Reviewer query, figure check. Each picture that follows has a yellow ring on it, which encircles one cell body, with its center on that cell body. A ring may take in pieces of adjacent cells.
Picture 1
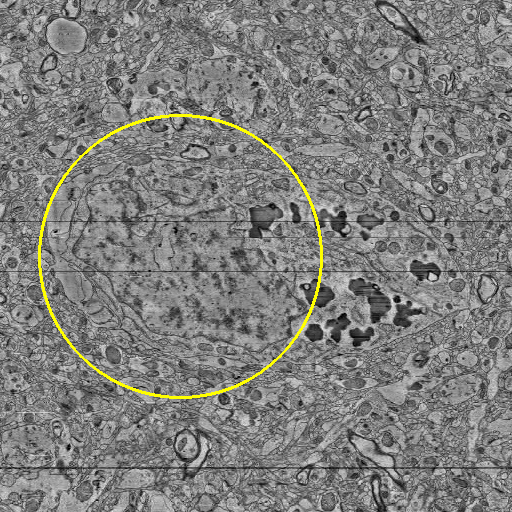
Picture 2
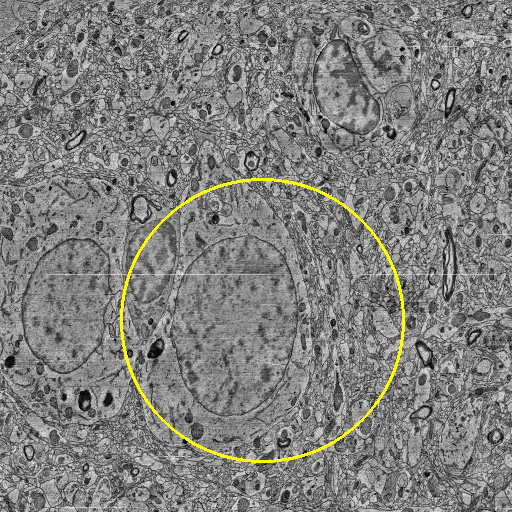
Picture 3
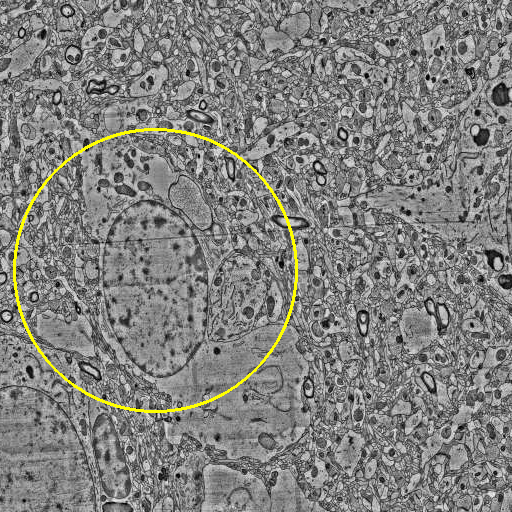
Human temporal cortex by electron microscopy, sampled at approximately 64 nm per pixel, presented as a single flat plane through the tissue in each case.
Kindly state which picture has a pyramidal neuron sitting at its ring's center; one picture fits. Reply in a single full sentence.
In picture 2, the cell at the center of the ring is the requested one.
